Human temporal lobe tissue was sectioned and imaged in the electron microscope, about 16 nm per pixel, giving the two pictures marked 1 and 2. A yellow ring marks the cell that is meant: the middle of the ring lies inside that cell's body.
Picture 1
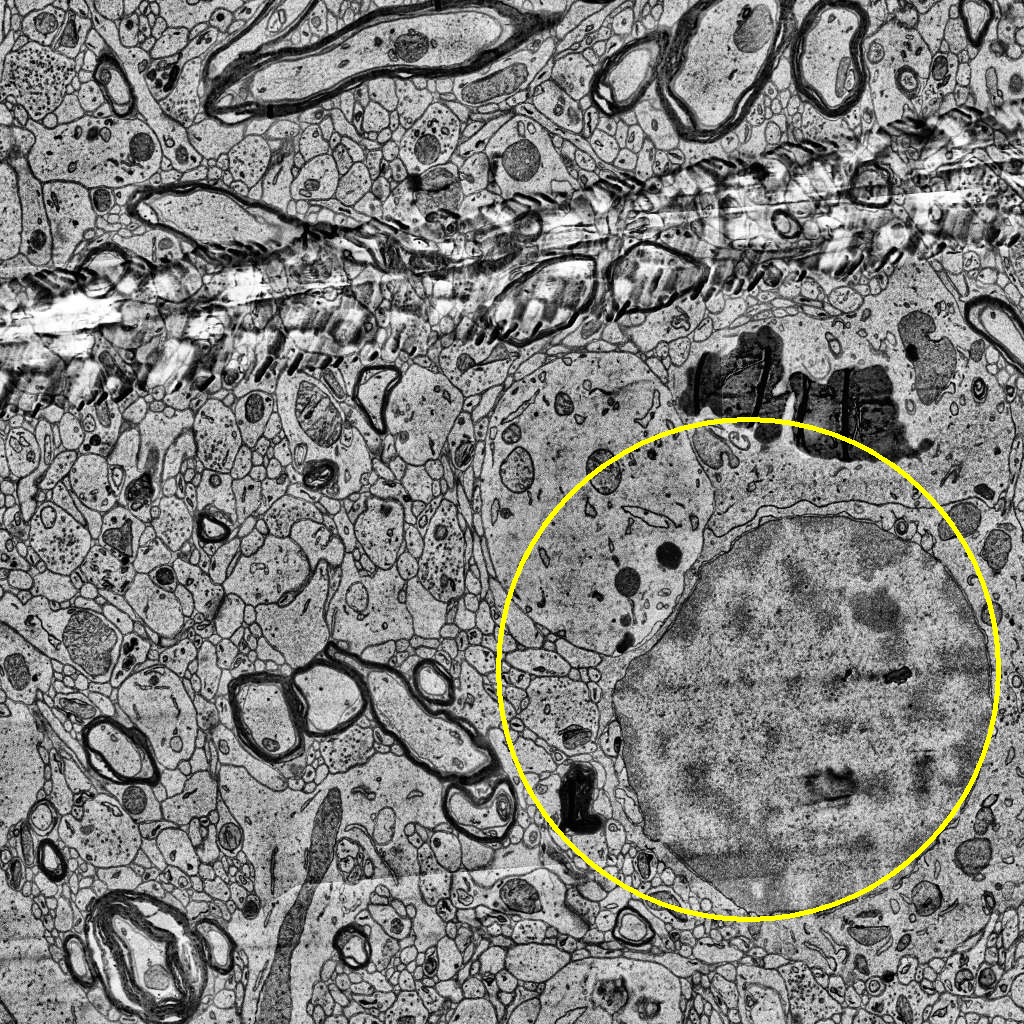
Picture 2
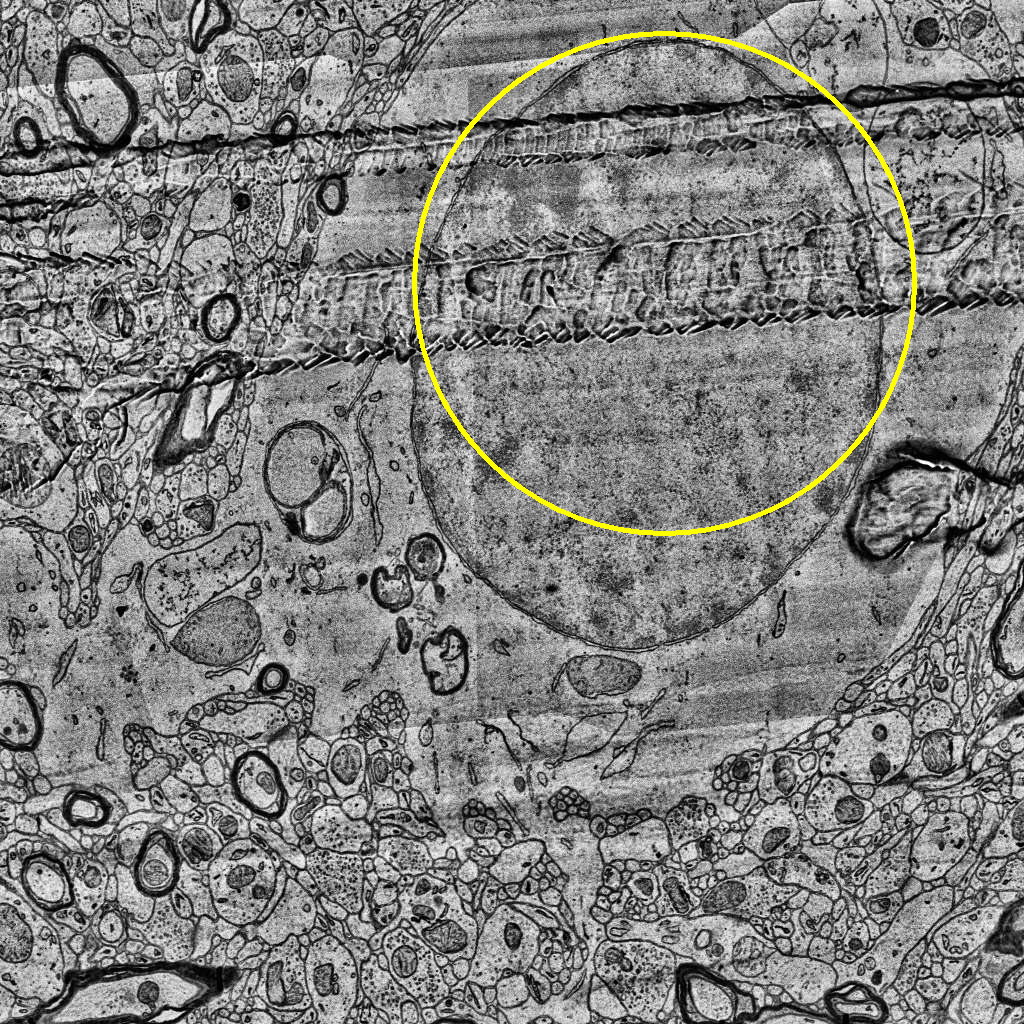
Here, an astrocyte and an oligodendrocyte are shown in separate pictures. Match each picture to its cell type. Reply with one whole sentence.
In picture 1 the cell is an oligodendrocyte; in picture 2, an astrocyte.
